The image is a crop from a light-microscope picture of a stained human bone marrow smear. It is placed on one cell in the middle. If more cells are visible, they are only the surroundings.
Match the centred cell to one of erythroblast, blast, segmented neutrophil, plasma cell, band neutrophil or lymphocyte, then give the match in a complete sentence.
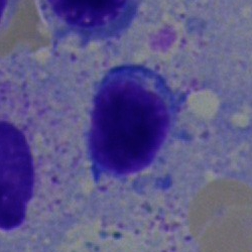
As for the cell in the middle, it is a lymphocyte.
